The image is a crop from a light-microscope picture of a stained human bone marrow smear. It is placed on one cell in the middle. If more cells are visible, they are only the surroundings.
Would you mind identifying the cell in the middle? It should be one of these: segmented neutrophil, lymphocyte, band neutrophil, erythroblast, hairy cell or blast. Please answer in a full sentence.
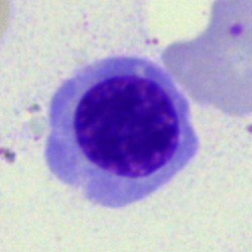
The identification for the central cell is an erythroblast.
